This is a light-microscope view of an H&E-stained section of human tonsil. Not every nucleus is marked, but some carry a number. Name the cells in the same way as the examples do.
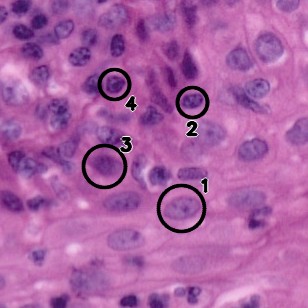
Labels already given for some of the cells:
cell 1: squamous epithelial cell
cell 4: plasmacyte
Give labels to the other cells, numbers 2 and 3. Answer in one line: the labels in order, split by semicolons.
squamous epithelial cell; squamous epithelial cell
